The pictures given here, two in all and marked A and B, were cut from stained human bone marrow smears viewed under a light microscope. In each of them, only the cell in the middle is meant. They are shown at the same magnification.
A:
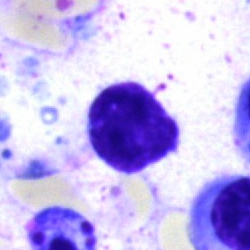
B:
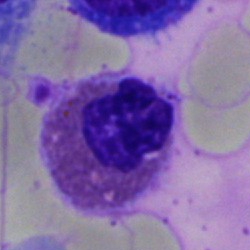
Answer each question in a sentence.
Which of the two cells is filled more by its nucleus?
In crop A the nucleus takes up the larger part of its cell.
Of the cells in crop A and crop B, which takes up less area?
Smaller is the cell in crop A, and the other is about 2 times as large in area.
